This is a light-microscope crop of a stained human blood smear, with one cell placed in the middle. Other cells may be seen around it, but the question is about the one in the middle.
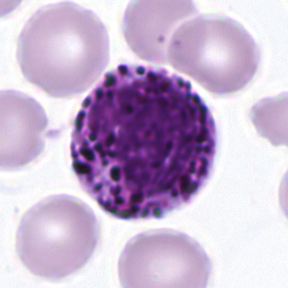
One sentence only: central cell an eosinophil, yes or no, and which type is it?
No, not an eosinophil but a basophil is the cell in the centre.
